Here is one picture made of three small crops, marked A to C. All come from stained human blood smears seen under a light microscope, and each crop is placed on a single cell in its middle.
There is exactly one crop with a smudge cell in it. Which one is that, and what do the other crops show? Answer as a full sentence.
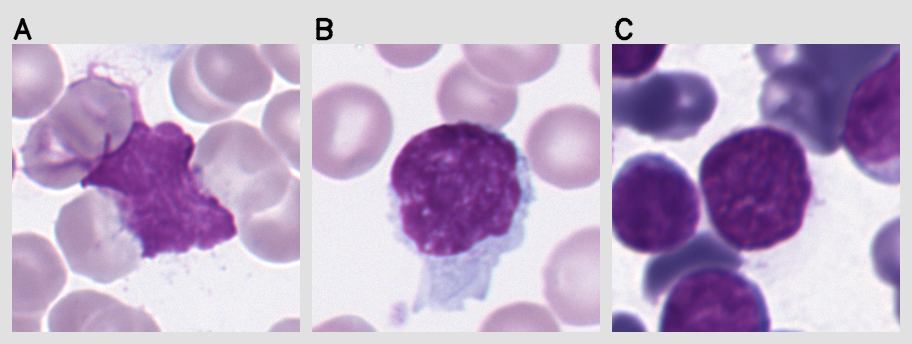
Crop A is to be called a smudge cell, while crop B is a typical lymphocyte and crop C is a myeloblast.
